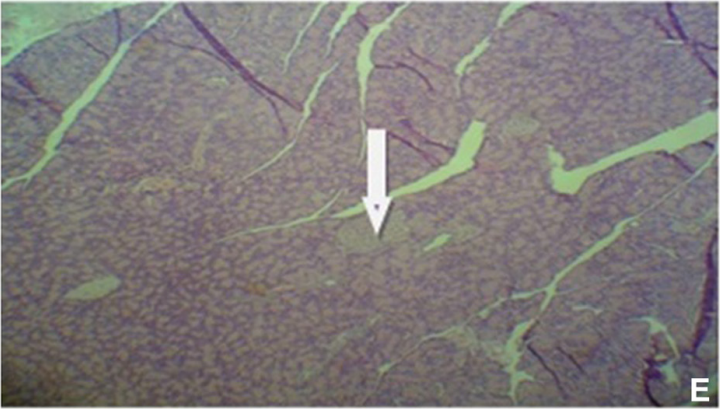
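This is pancreas at low magnification, with a broad field of purple-staining exocrine acinar tissue divided by pale clefts and thin septa. Small, pale, rounded islets lie scattered within the acinar tissue, appearing as lighter patches among the darker acini. The islets appear small relative to the surrounding lobules. No obvious scarring or areas of tissue destruction are seen in the field.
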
